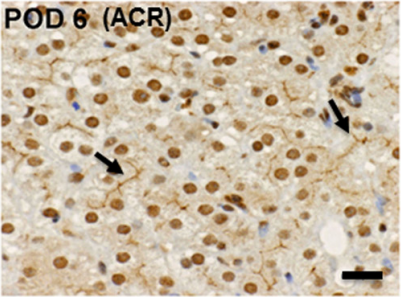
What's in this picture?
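Liver parenchyma with hepatocytes and bile canaliculi between them. The hepatocytes are polygonal cells packed side by side, most with a round nucleus stained brown and pale tan cytoplasm; a few small blue nuclei of other cells lie between them. A few clear round vacuoles are seen in the cytoplasm.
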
